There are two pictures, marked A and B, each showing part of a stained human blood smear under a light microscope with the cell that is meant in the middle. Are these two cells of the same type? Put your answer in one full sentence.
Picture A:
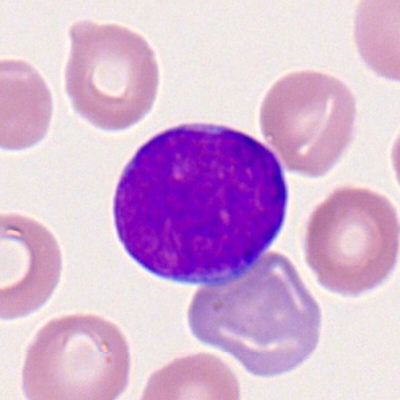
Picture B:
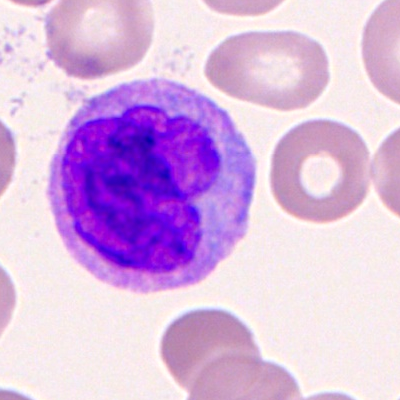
No, they differ: the cell is a myeloblast in picture A and a monocyte in picture B.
